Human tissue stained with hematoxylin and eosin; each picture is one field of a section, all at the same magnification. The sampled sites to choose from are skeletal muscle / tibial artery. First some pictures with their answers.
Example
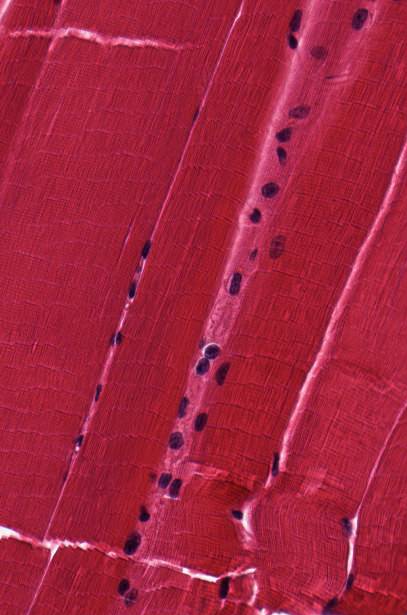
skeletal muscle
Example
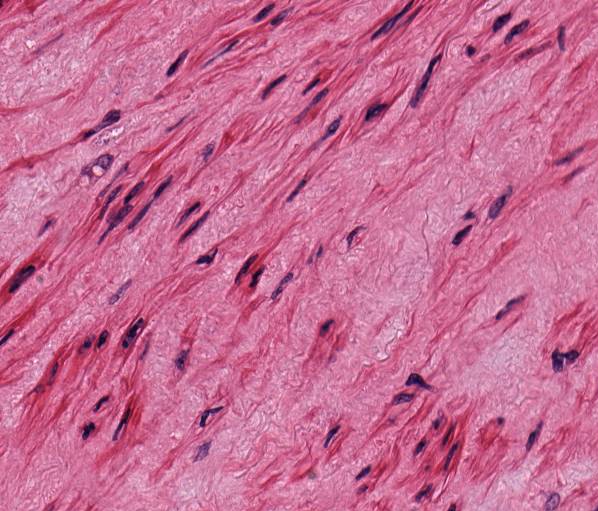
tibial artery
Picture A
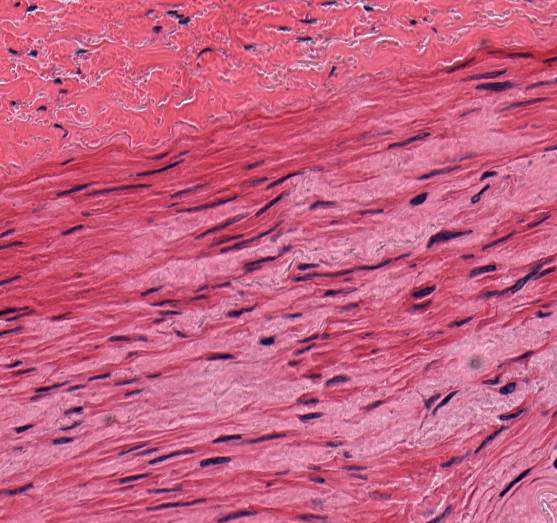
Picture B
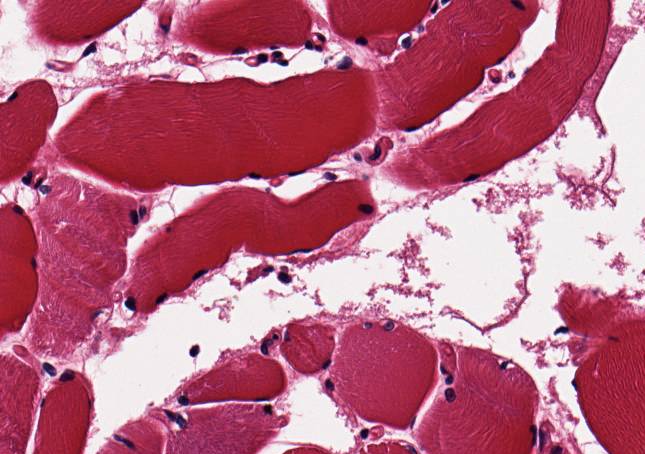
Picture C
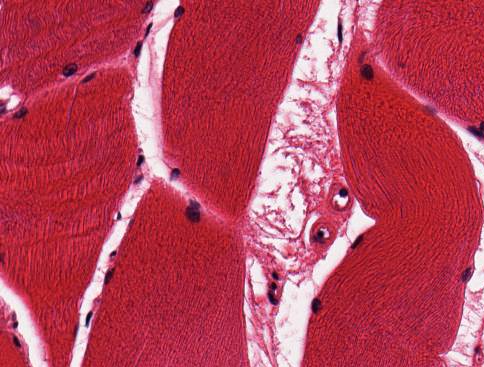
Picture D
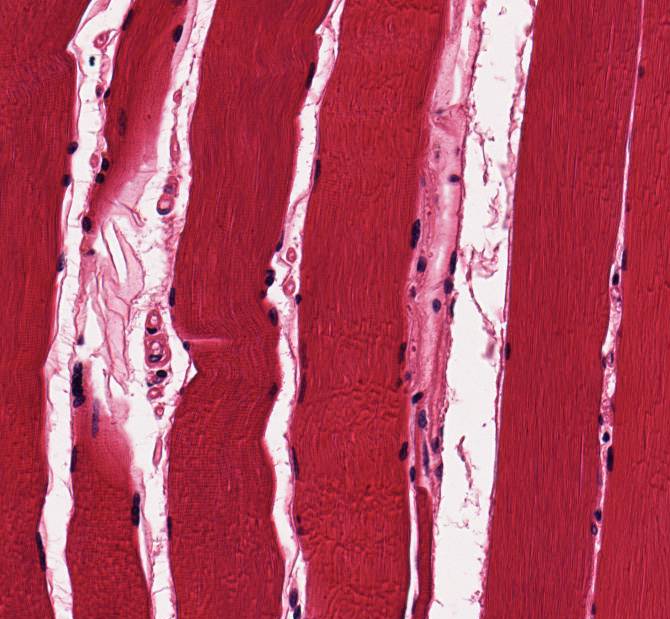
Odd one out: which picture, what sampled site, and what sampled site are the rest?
Different: A, tibial artery. Others: skeletal muscle.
